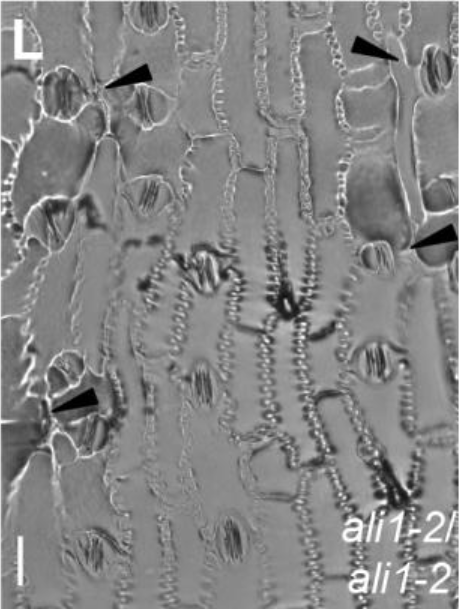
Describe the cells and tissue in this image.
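Some files still have elongated cells with wavy walls and normal-looking stomata, but elsewhere the pattern breaks down. Several stomata are flanked by swollen, irregular neighbouring cells with smooth walls instead of neat paired subsidiary cells, and some stomata lie off their rows or crowded together. Patches of enlarged, bulging cells with smooth outlines interrupt the regular wavy-walled files, and dark deposits mark a few cell junctions. Overall the orderly arrangement of the normal leaf surface is disturbed.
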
